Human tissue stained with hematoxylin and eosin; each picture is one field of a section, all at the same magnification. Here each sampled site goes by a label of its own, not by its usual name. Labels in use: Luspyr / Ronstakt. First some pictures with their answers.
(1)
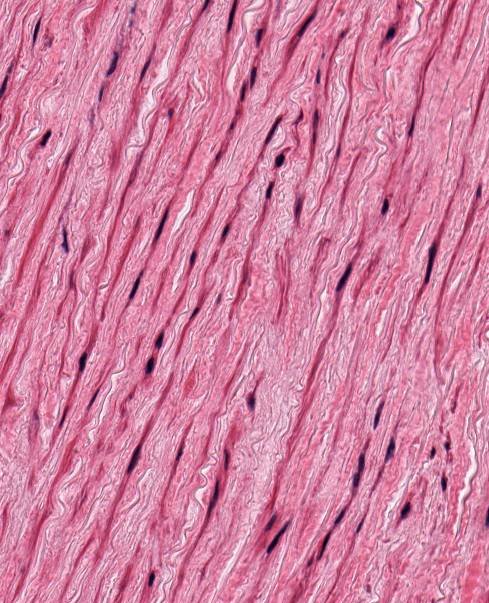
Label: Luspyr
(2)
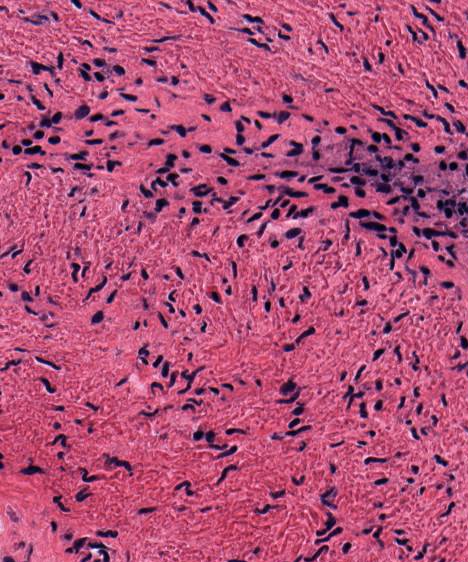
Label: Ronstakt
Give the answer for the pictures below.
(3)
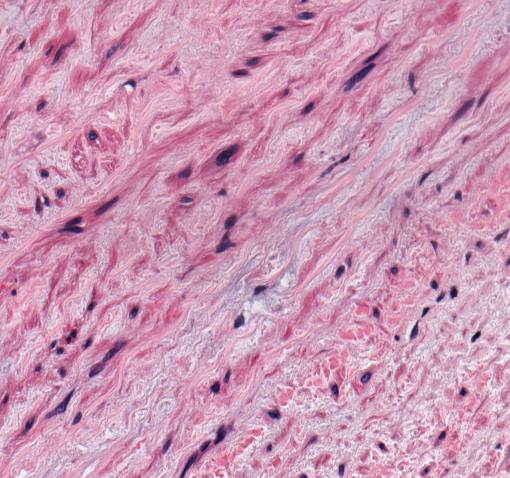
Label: Luspyr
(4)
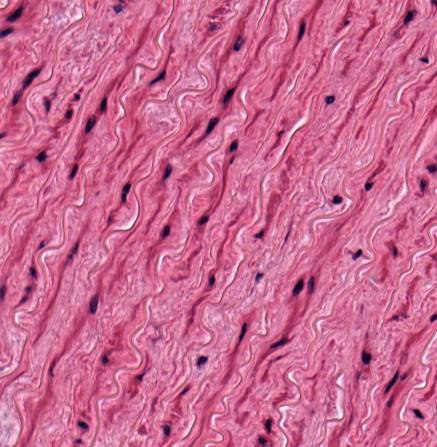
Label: Luspyr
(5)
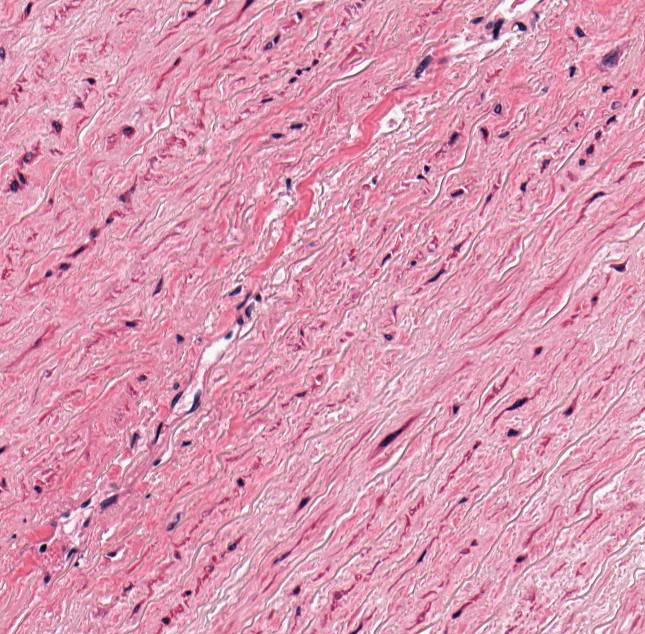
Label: Luspyr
